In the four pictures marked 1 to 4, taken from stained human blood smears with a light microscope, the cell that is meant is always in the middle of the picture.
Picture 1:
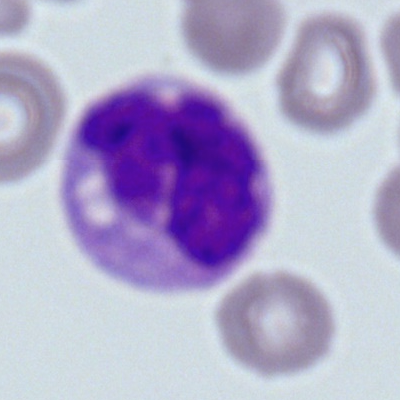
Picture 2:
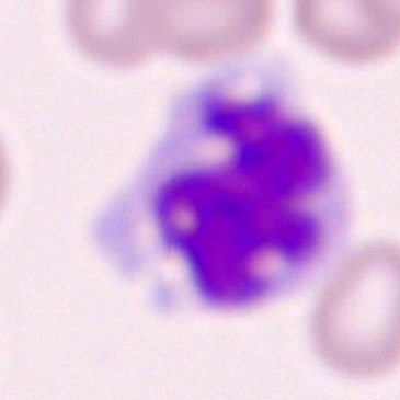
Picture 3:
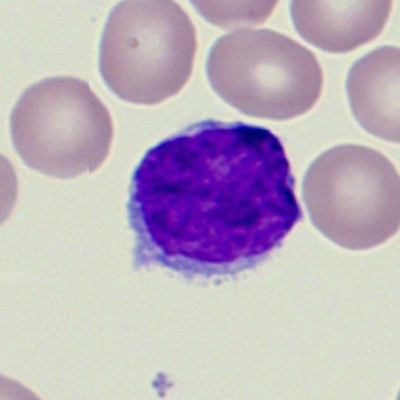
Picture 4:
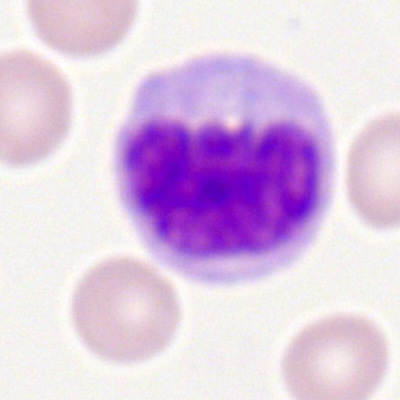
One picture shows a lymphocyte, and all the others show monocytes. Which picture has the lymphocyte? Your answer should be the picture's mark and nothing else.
3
